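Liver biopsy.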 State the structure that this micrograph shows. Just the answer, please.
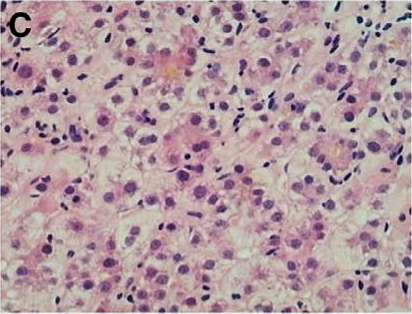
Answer: Small bile thrombus.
